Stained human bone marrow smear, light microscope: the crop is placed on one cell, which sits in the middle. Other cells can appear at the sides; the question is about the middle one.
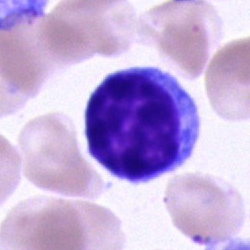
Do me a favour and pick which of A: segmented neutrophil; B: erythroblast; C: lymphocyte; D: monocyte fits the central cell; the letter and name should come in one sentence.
Option C is the right choice, the central cell being a lymphocyte.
